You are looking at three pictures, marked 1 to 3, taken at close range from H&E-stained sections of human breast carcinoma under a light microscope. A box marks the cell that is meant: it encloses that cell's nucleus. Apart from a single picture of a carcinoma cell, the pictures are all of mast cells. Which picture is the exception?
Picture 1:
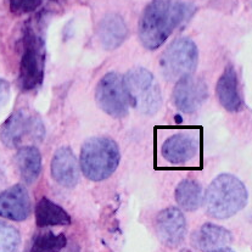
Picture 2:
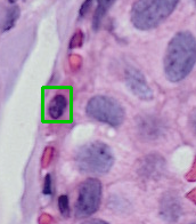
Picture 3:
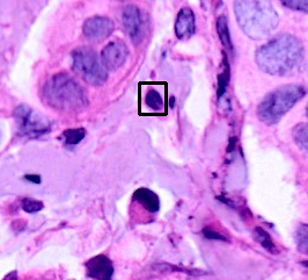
1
